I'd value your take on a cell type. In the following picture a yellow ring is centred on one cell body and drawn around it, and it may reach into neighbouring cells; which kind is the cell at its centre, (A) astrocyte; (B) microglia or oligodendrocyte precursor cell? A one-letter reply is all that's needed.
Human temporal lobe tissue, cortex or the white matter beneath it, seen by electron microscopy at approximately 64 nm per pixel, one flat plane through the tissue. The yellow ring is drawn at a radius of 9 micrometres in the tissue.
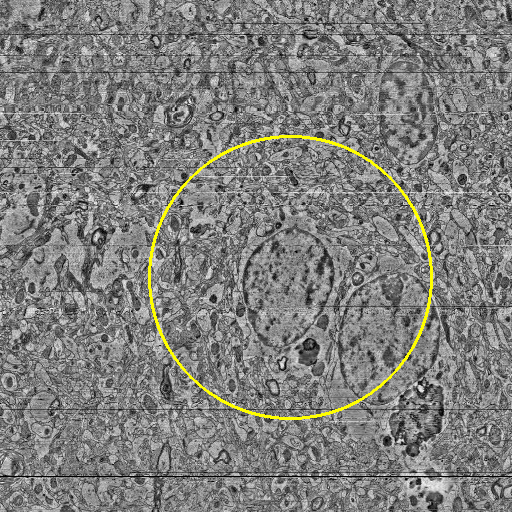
A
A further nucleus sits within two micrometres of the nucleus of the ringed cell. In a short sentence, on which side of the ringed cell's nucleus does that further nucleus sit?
That nucleus lies to the lower right of it.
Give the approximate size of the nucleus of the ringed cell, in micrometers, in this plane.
Roughly 8 by 6 micrometres in this plane, for the nucleus of the ringed cell.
